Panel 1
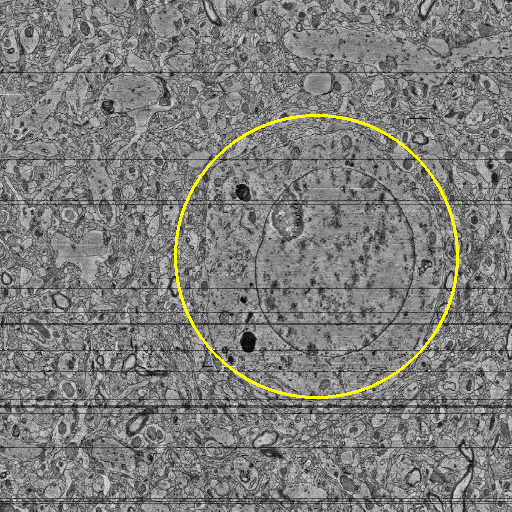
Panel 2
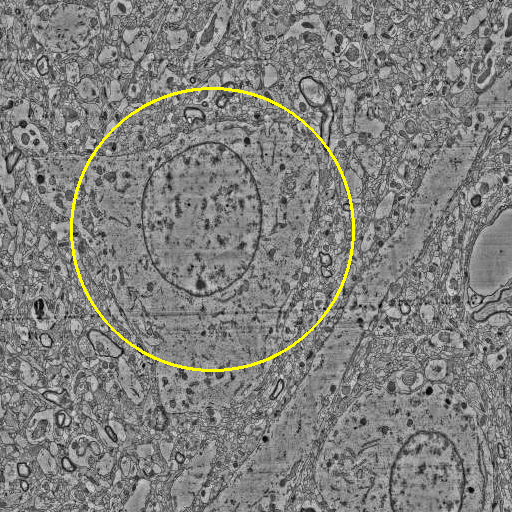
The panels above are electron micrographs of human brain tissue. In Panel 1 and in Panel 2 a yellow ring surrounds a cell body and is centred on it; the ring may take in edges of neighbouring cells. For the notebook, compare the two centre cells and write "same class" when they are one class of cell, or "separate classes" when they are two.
same class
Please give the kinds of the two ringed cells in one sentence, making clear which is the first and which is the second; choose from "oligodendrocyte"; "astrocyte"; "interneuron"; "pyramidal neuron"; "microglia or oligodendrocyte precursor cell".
The second cell is a pyramidal neuron, just as the first is.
